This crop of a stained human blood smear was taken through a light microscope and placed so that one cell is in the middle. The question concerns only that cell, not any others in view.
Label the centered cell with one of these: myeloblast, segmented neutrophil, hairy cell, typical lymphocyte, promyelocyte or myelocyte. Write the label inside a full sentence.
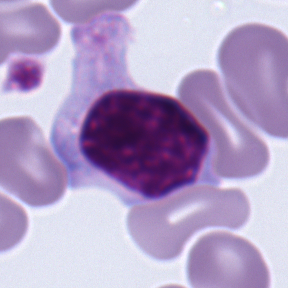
Centred in the crop is a typical lymphocyte.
